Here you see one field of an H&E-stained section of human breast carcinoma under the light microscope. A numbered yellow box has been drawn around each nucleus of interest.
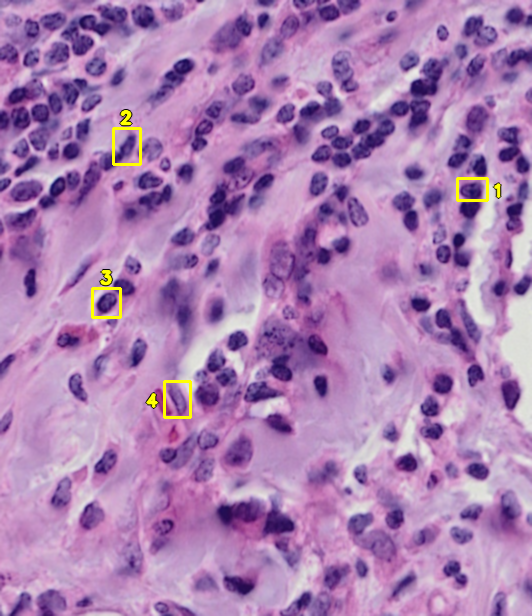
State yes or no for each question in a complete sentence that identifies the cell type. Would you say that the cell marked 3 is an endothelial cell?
No, an endothelial cell is not what cell 3 is; it is a lymphocyte.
